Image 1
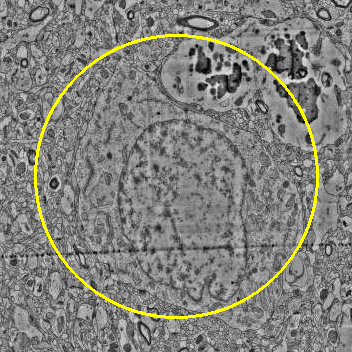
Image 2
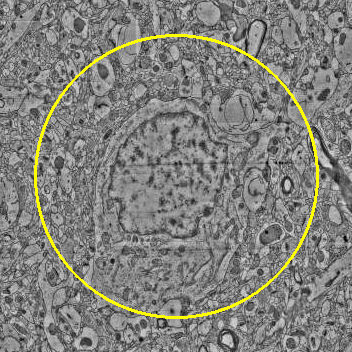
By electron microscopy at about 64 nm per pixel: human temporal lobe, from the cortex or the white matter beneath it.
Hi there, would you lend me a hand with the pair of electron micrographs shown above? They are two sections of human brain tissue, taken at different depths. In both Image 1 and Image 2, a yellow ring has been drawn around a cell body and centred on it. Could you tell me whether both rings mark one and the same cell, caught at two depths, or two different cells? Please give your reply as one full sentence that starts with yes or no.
No, the two circled cells are distinct from one another.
